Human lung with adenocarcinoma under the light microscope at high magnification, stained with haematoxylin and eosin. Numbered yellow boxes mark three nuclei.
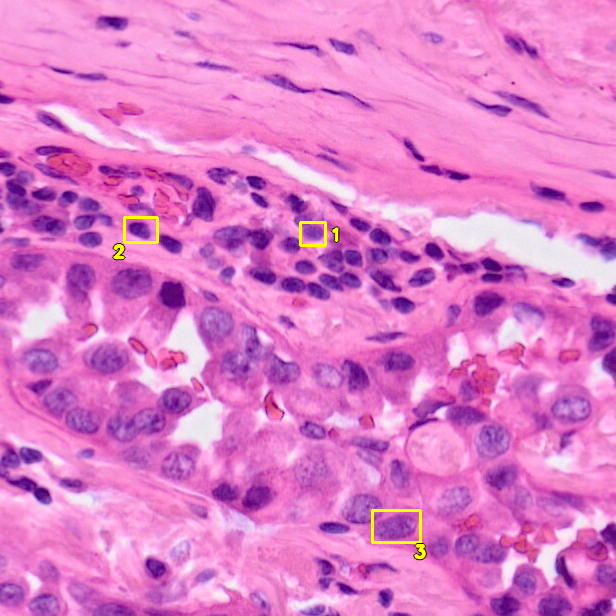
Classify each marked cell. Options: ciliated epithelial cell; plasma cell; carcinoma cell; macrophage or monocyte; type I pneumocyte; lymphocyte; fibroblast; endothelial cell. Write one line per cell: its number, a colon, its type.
1: lymphocyte
2: lymphocyte
3: carcinoma cell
